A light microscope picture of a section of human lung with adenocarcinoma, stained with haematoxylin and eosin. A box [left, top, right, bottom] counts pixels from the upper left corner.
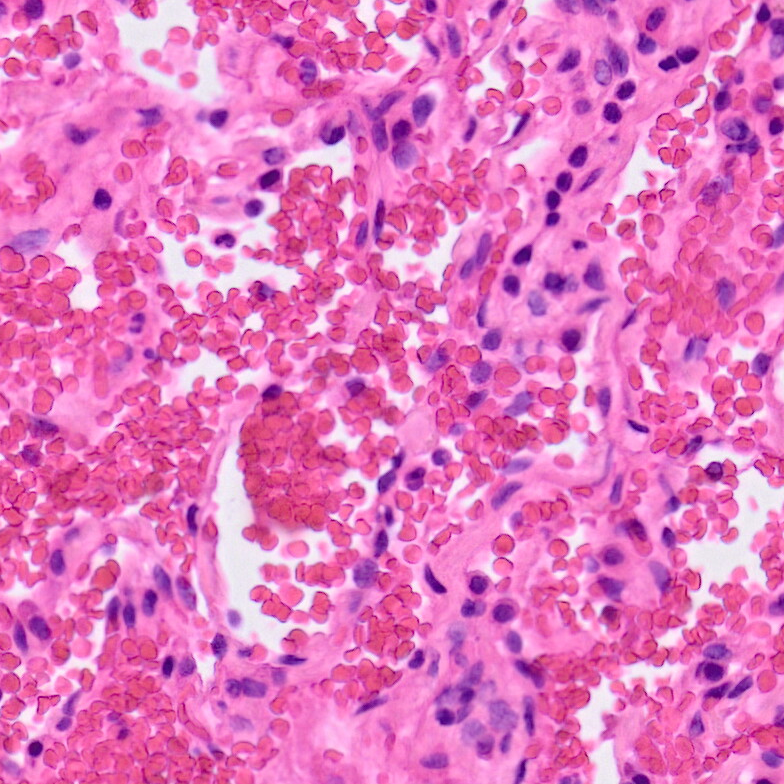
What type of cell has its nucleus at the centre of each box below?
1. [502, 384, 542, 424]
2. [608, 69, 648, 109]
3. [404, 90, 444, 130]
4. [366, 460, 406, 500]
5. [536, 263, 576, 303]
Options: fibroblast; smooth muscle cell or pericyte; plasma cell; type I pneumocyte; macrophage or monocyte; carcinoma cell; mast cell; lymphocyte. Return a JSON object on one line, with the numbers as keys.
{"1": "type I pneumocyte", "2": "lymphocyte", "3": "type I pneumocyte", "4": "type I pneumocyte", "5": "plasma cell"}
